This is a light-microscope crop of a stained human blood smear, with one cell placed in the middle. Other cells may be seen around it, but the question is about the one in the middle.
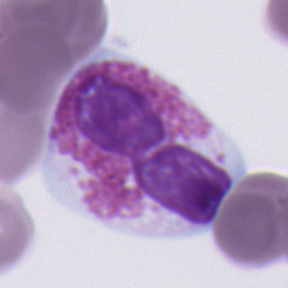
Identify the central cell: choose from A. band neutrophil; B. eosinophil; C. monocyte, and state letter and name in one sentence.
The central cell is an eosinophil, which makes option B the right answer.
